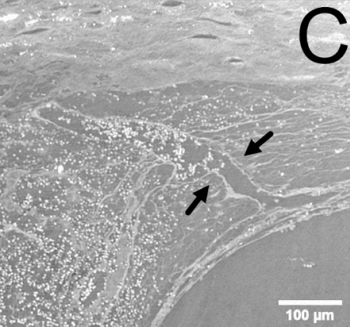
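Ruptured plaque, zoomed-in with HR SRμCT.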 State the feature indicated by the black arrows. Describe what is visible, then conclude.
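The arrows point to thin channel-like lines running through the textured mass. Bright small round particles lie scattered near them.
Conclusion: neo-vessels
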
